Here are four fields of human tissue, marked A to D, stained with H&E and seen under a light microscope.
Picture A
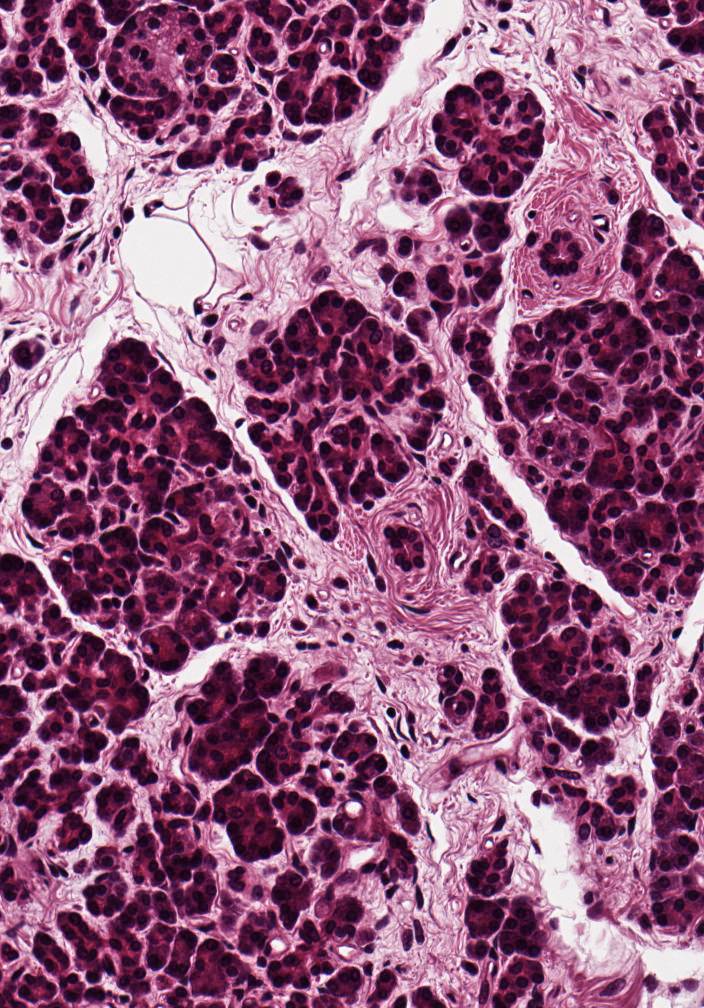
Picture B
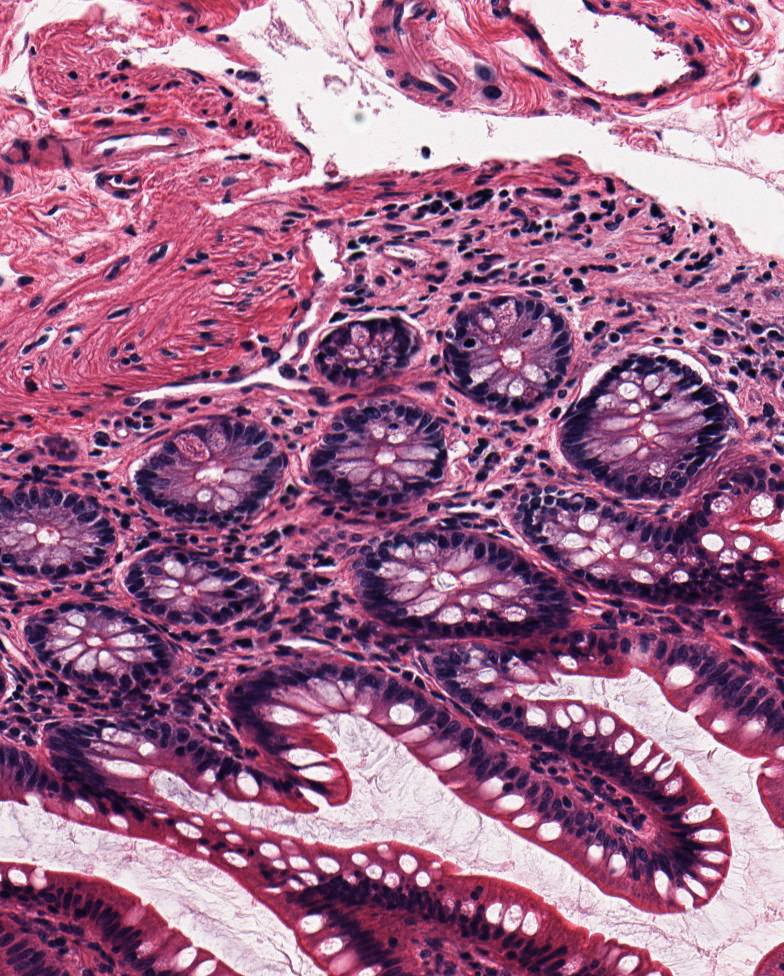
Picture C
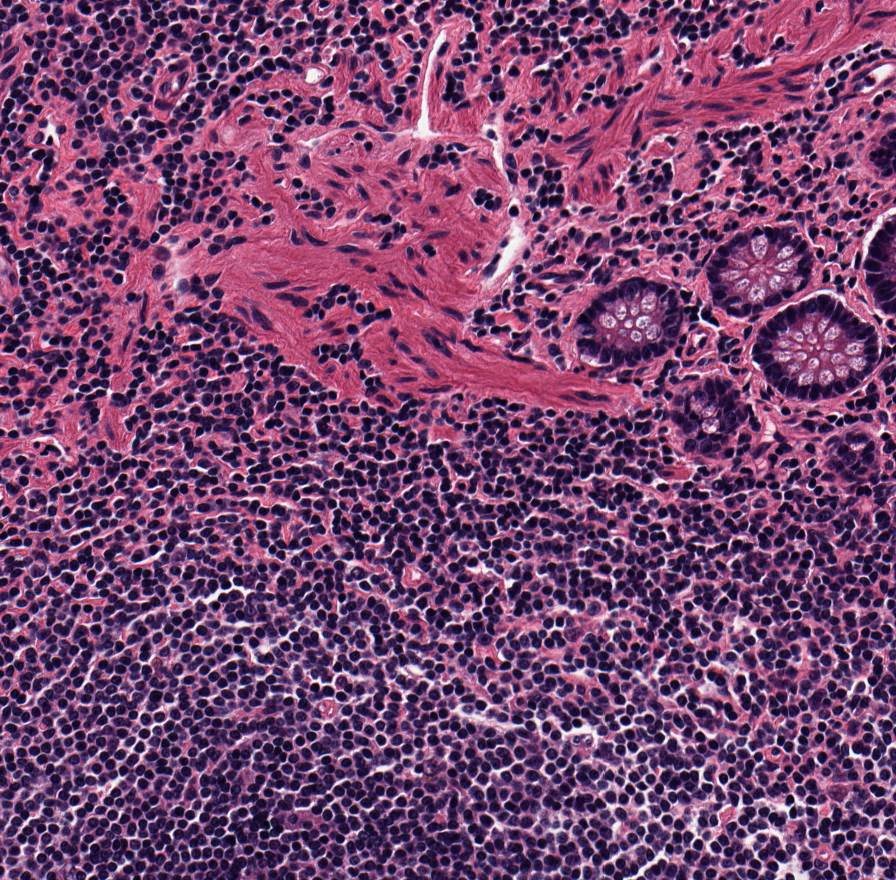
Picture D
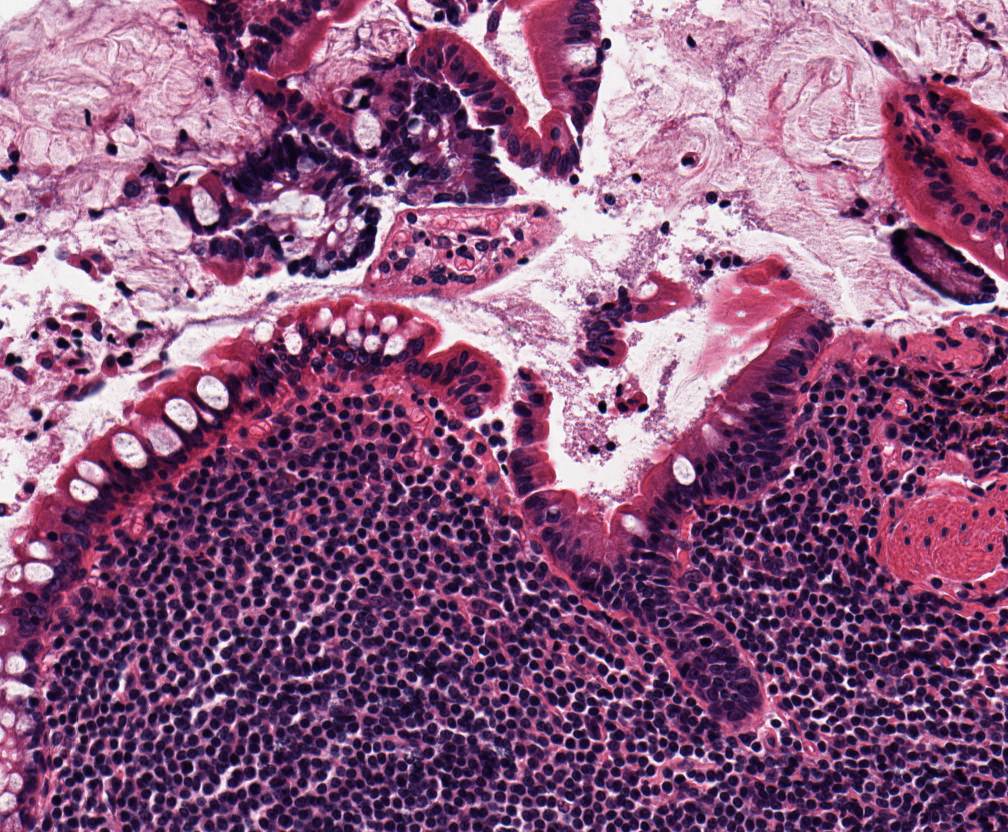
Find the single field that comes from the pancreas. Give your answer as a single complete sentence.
The one that comes from the pancreas is picture A.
